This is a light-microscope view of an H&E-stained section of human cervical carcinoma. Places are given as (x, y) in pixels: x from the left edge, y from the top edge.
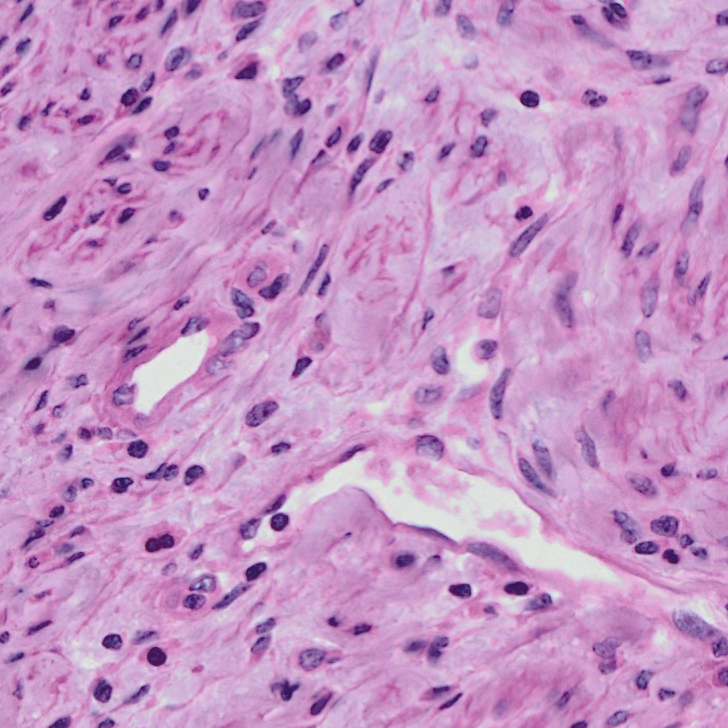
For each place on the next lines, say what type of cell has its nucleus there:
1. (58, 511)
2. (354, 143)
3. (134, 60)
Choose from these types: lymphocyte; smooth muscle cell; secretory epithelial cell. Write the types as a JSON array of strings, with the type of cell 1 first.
["smooth muscle cell", "lymphocyte", "smooth muscle cell"]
